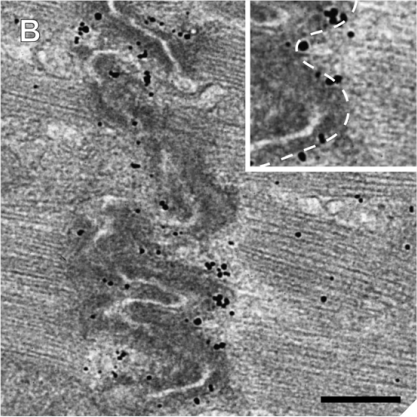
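This transmission electron micrograph shows an intercalated disc joining two heart muscle cells. A pale, strongly folded membrane line meanders from top to bottom, forming deep interdigitating loops. Both sides of the folded membranes are coated by dark, dense plaque material. Bundles of finely striated myofilaments run horizontally toward the disc from left and right and merge into the dense material. Black gold particles of varying size are scattered along the dense plaque and its edges, with a few in the surrounding myofibrils. An inset enlarges one loop, where a dashed line traces the border between the dark plaque and paler cytoplasm.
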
